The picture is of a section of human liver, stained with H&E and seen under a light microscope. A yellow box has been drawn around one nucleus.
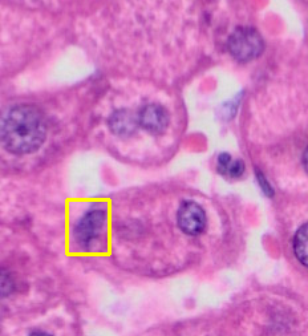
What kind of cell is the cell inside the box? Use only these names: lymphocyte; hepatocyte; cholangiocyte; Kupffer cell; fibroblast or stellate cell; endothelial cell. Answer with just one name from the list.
fibroblast or stellate cell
